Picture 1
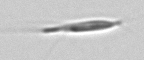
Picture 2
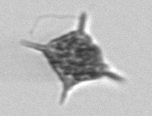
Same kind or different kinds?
Different: the first is Calciosolenia, the second a silicoflagellate.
